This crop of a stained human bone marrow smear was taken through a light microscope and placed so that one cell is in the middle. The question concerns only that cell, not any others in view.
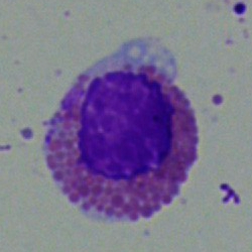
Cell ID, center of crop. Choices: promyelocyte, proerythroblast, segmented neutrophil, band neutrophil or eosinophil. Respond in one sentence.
For this crop, the central cell is an eosinophil.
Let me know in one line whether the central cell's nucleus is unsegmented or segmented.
In this cell the nucleus is a solitary compact mass, round, oval or kidney-shaped.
